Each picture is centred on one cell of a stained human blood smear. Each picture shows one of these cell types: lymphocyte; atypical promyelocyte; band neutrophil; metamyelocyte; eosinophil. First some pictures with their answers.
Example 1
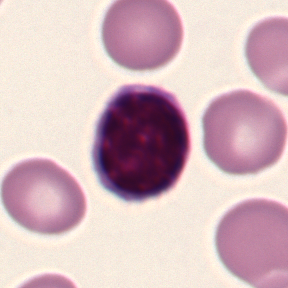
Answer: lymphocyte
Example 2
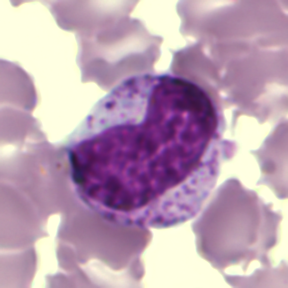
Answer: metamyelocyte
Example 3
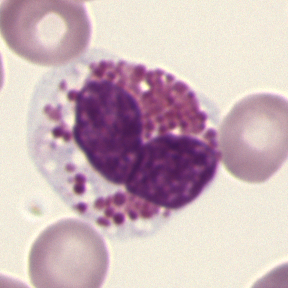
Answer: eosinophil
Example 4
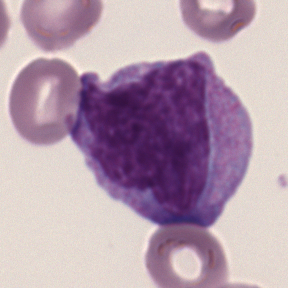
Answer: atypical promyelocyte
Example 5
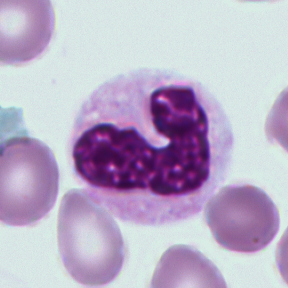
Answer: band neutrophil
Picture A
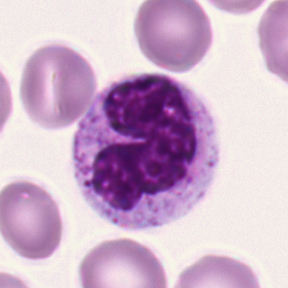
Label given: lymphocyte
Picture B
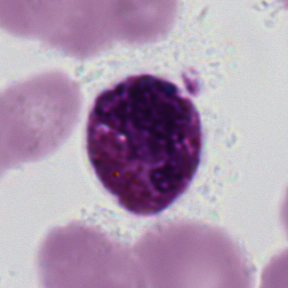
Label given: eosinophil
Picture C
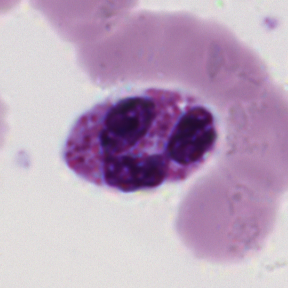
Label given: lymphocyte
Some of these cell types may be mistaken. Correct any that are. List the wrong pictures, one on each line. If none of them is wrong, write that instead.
A is labelled lymphocyte; correct label: band neutrophil
C is labelled lymphocyte; correct label: eosinophil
